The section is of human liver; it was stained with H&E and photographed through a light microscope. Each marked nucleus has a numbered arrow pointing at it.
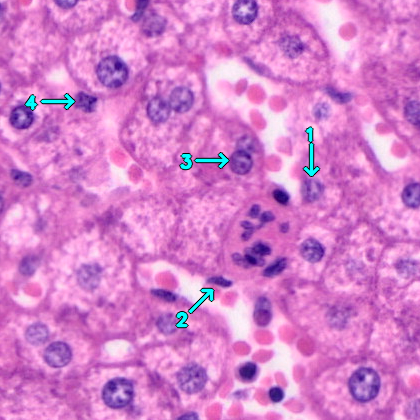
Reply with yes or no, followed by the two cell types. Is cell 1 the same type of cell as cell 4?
No, that's wrong; cell 1 is a hepatocyte and cell 4 is an endothelial cell.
